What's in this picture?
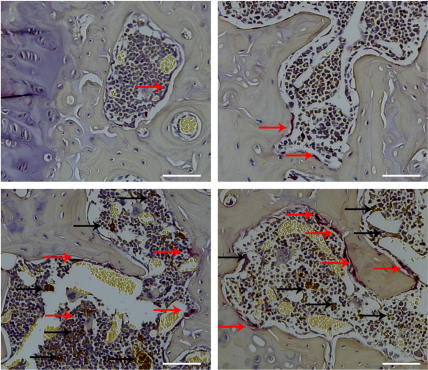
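These are sections of subchondral bone with pale pink-grey bone trabeculae surrounding marrow spaces packed with small, round, dark-nucleated marrow cells and yellowish red cells. Along the bone surfaces lie osteoclasts, seen as red-purple stained cells hugging the edge of the trabeculae at the border with the marrow. In the lower images these red-purple cells are more numerous and line many stretches of bone surface. The upper images show fewer stained cells and little brown material.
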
